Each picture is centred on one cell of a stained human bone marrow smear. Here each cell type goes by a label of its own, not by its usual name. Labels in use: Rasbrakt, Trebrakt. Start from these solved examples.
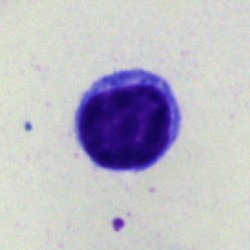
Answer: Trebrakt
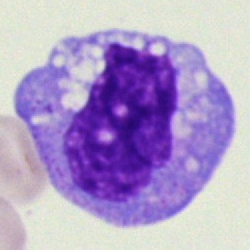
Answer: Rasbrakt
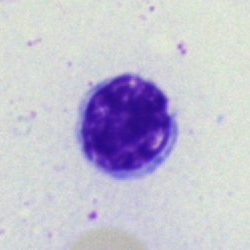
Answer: Trebrakt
